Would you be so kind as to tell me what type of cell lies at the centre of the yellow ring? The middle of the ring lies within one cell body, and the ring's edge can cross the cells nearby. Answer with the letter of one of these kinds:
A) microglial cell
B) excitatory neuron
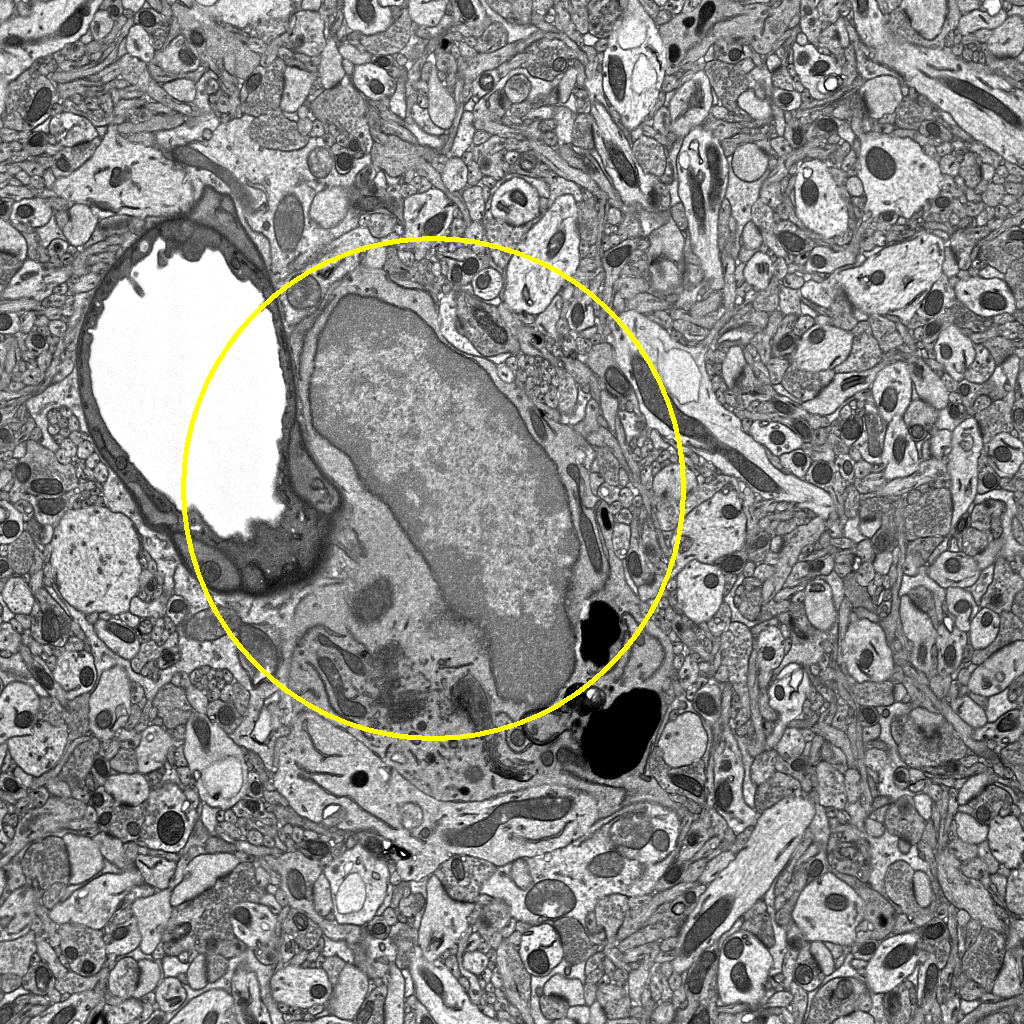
A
